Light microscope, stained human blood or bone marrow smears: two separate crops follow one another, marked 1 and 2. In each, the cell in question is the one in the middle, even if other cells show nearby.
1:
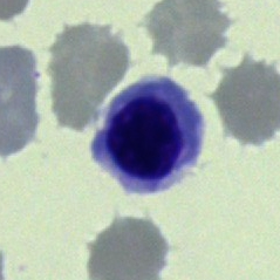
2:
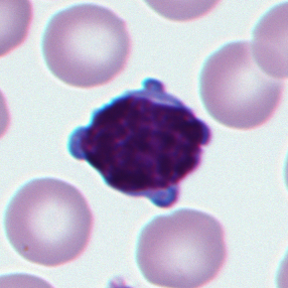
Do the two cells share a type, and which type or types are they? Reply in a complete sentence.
No, an erythroblast is what crop 1 shows, and a lymphocyte is what crop 2 shows.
